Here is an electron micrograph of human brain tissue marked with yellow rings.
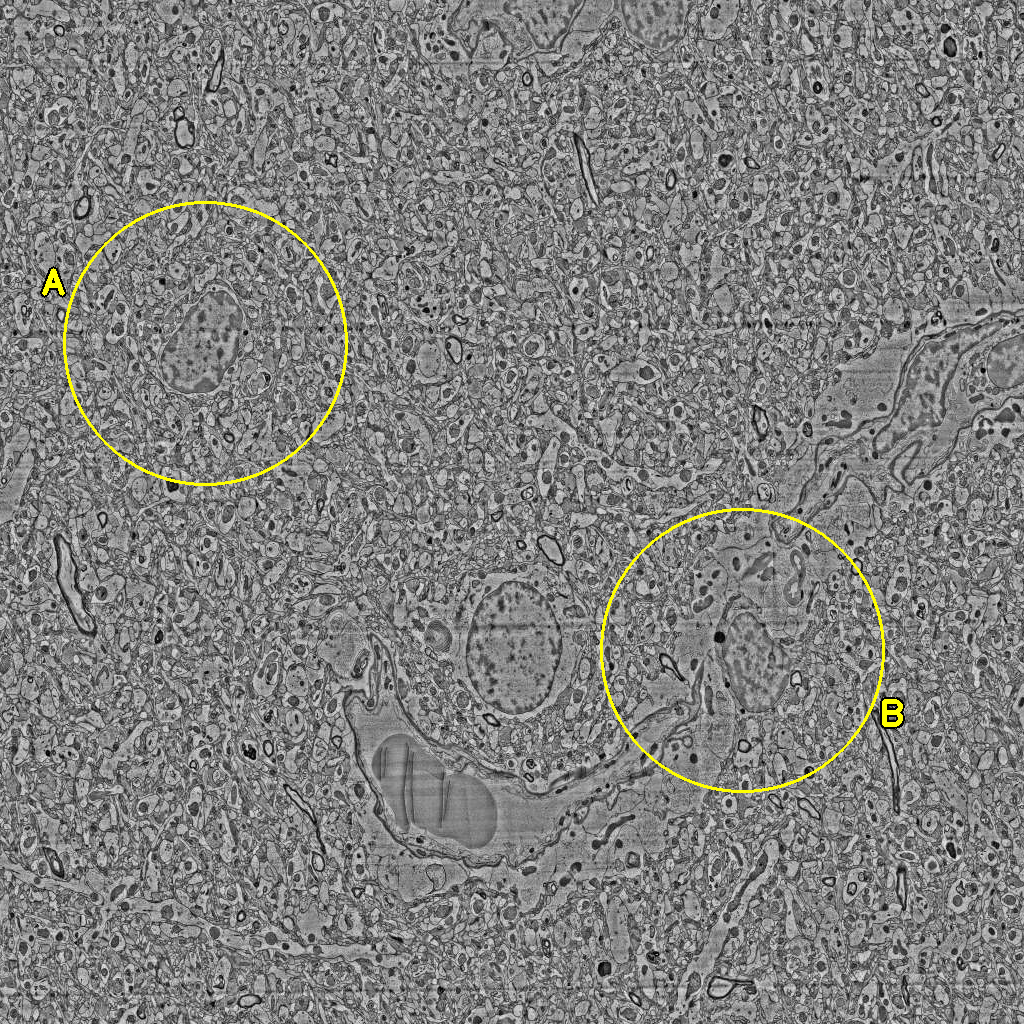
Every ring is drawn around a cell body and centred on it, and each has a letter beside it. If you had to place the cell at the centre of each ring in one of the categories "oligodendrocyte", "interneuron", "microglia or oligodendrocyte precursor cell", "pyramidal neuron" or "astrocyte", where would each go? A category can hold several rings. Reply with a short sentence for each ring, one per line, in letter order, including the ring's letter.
The centre of ring A holds a microglial cell or oligodendrocyte precursor cell.
The centre of ring B holds an oligodendrocyte.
